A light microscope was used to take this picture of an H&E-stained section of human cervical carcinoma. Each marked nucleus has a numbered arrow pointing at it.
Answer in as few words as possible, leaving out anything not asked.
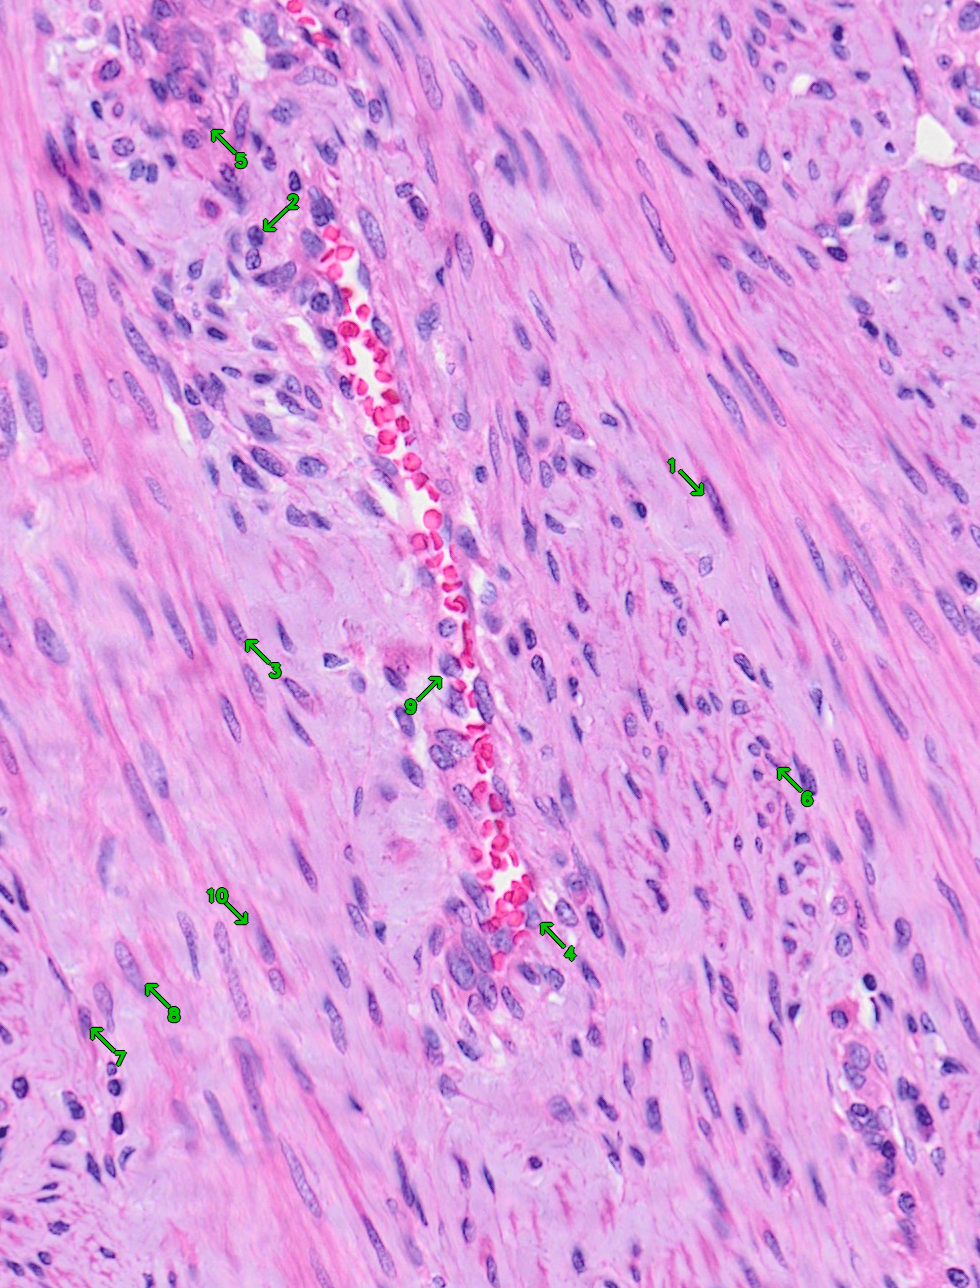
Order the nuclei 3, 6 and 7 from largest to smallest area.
3, 7, 6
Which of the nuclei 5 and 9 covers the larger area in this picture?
9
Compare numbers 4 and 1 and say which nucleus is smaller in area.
4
